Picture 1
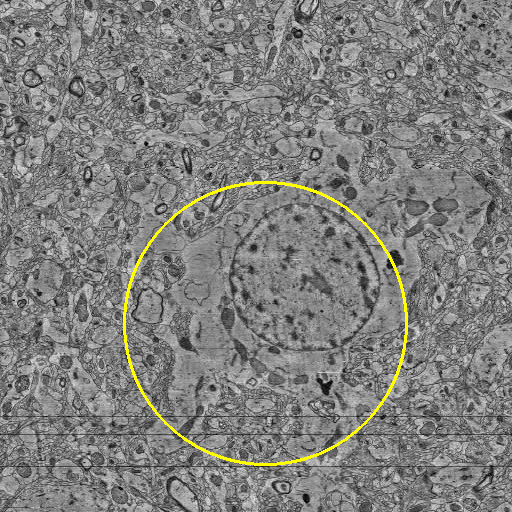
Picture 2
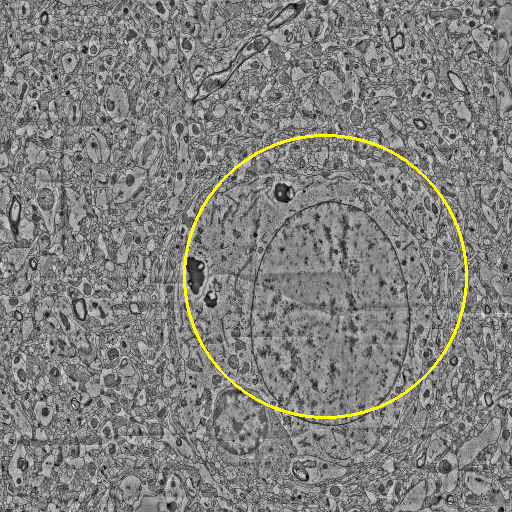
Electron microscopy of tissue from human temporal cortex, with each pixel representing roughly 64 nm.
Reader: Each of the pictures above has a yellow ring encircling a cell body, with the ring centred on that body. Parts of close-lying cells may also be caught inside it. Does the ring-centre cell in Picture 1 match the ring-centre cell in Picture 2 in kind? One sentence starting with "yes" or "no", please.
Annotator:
No, Picture 1 and Picture 2 show ring-centre cells of two kinds.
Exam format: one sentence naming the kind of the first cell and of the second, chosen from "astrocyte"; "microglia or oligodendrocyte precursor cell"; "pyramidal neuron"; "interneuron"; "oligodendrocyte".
The first picture's cell is an astrocyte, and the second picture's cell is a pyramidal neuron.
